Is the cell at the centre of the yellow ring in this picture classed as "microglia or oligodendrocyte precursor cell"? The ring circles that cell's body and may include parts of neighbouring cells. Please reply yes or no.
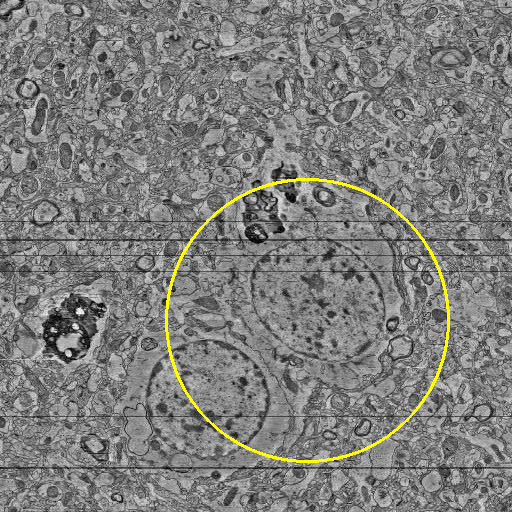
No, it is of another kind.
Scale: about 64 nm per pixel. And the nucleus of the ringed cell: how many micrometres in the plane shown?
Approximately 9 micrometres long and 8 micrometres wide, in this plane.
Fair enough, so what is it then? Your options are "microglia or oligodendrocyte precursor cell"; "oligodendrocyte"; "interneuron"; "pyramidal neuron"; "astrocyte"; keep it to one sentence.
The cell ringed in the picture is an astrocyte.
